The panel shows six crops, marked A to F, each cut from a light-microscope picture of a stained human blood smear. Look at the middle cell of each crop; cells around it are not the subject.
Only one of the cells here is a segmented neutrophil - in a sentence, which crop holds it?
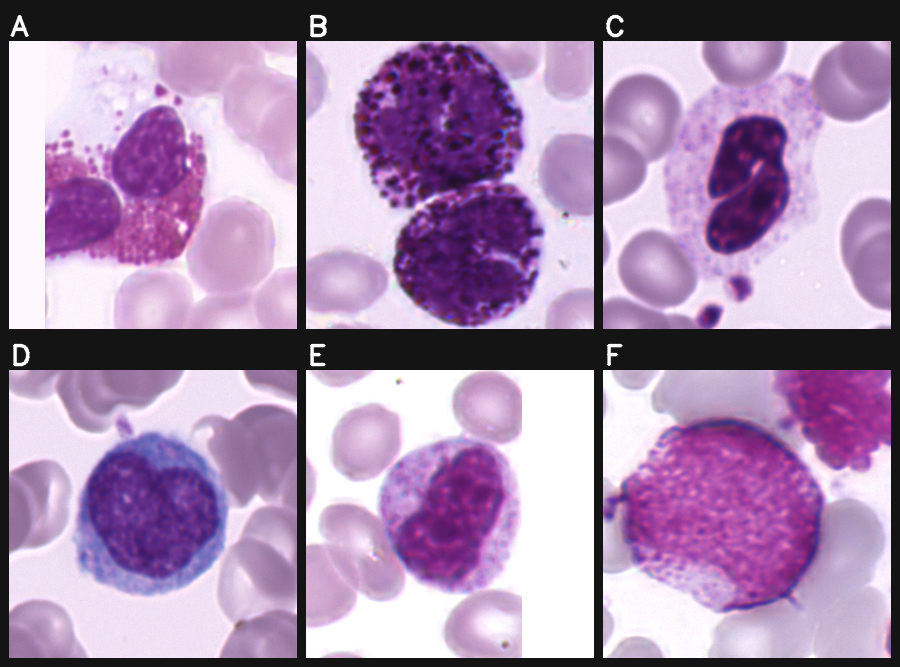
Crop C is the crop featuring a segmented neutrophil at its center.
